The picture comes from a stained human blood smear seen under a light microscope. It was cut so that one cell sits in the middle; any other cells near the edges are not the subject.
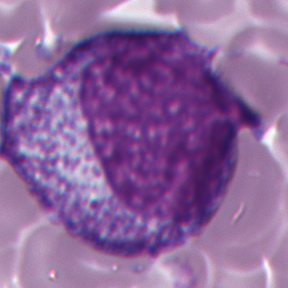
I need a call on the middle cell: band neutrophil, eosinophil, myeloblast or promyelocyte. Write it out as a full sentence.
The cell sitting right in the middle is a promyelocyte.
